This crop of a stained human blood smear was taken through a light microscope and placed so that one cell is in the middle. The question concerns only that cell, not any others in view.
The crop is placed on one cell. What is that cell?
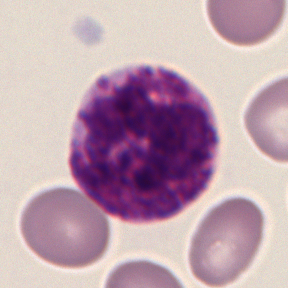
basophil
